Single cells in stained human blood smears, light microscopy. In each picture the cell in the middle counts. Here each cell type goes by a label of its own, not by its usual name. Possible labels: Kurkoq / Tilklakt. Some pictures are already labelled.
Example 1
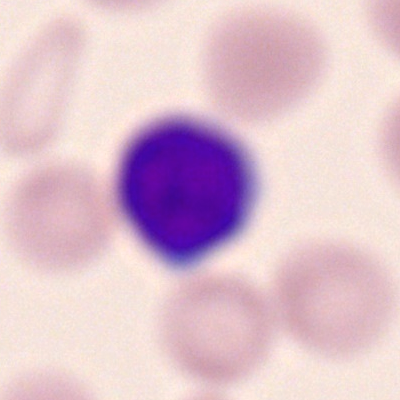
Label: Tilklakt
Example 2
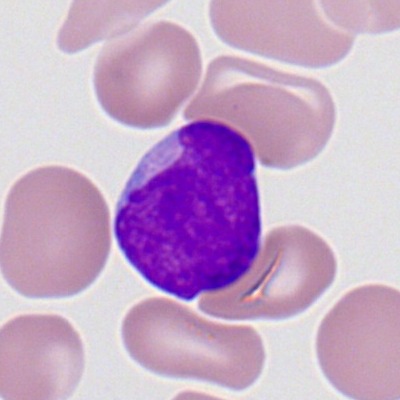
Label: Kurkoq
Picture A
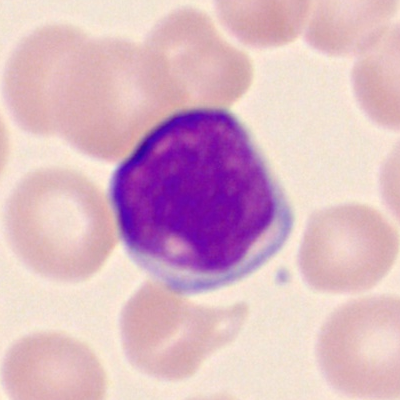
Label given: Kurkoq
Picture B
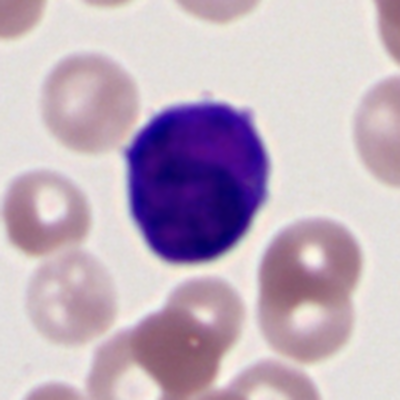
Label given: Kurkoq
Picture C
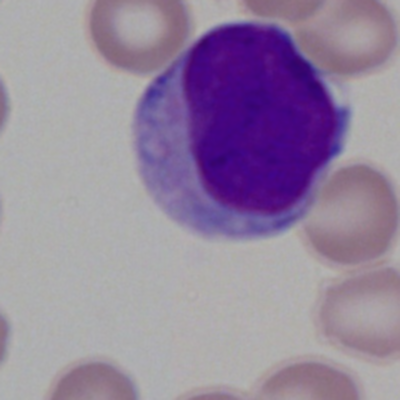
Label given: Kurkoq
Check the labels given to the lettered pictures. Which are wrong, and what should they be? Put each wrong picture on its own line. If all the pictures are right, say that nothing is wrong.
None of the labels needs changing.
